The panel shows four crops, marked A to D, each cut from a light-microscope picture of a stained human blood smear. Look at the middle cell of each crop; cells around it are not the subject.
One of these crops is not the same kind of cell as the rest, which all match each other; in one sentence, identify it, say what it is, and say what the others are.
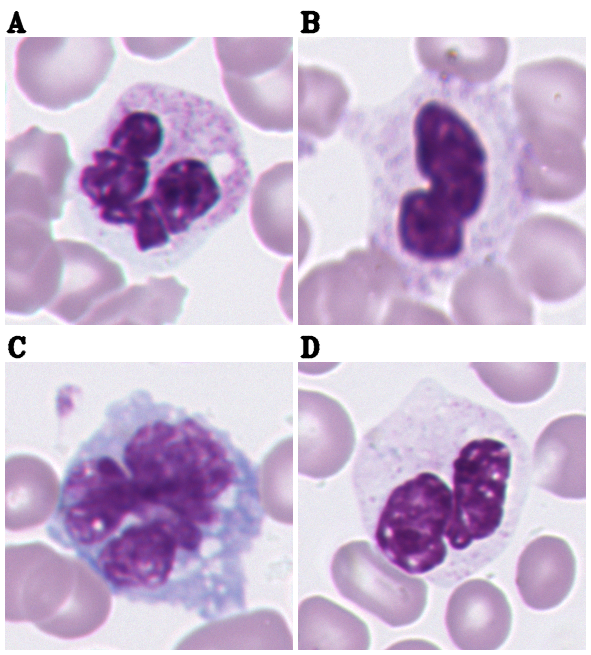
Crop C is different, showing a monocyte, whereas all the others show segmented neutrophils.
